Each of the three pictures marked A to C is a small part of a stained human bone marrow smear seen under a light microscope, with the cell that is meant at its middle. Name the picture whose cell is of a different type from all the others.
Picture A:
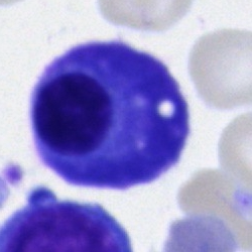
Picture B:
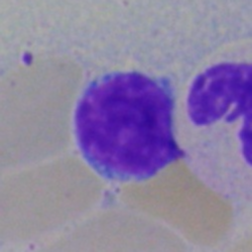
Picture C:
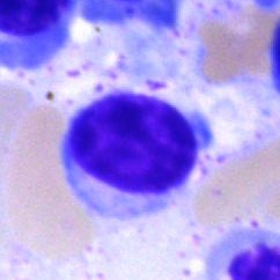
A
